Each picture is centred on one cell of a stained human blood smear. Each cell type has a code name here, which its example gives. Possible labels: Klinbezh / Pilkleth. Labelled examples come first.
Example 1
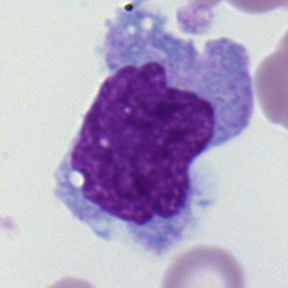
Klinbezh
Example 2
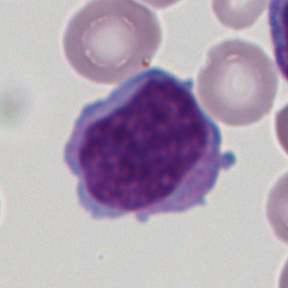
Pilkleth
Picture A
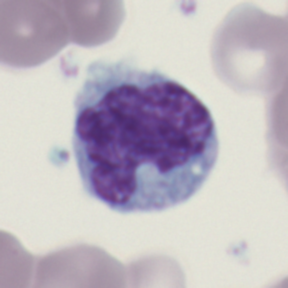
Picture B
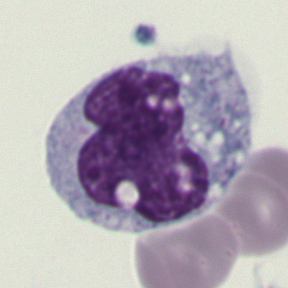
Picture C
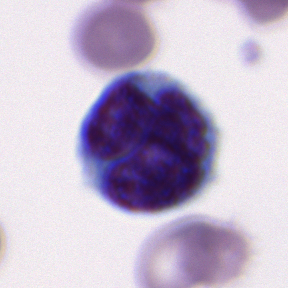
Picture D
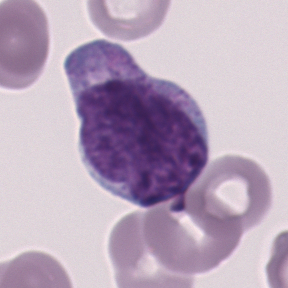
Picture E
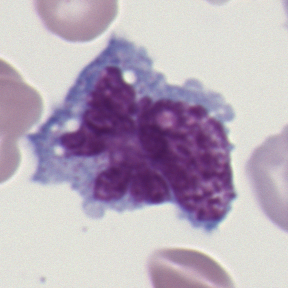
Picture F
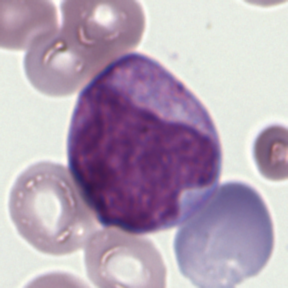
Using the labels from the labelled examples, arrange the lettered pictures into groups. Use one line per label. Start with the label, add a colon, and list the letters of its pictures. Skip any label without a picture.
Klinbezh: A, B, C, E
Pilkleth: D, F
